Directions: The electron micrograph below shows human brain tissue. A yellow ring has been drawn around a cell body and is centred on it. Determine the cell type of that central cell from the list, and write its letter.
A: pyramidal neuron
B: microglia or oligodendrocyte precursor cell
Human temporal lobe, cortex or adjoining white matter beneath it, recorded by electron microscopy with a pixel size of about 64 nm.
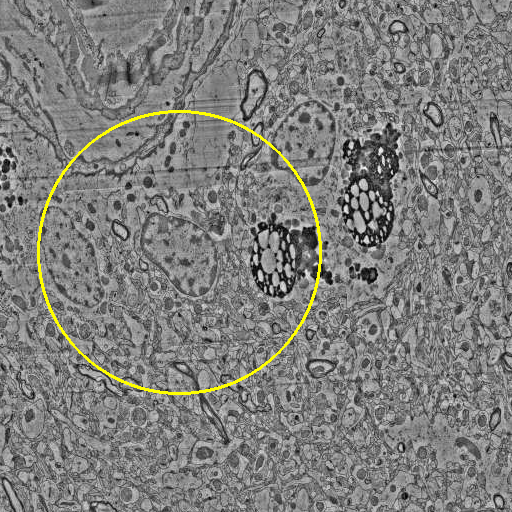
B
